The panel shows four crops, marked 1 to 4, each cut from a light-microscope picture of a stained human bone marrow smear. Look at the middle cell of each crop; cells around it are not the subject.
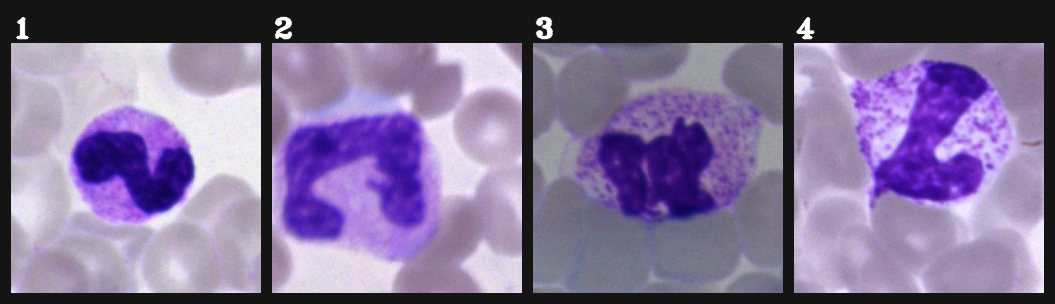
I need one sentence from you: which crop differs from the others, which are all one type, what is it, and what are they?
Among these crops, band neutrophils occur in all but crop 3, which contains a segmented neutrophil.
